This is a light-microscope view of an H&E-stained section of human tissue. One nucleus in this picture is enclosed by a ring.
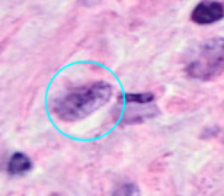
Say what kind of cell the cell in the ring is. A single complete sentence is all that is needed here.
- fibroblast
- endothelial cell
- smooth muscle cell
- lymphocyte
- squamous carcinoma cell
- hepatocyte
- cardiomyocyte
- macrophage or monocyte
In this field of tissue, the cell in the ring is a macrophage or monocyte.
